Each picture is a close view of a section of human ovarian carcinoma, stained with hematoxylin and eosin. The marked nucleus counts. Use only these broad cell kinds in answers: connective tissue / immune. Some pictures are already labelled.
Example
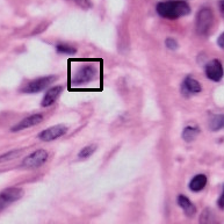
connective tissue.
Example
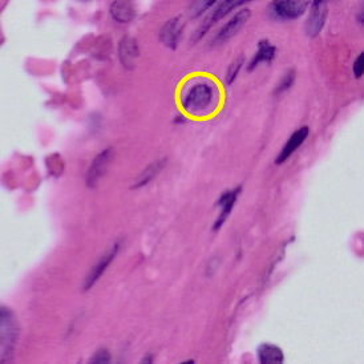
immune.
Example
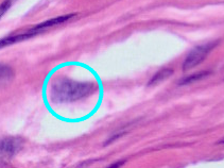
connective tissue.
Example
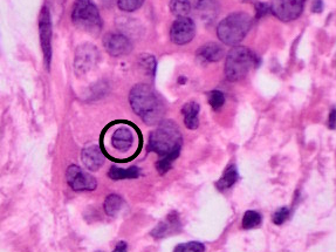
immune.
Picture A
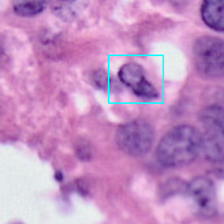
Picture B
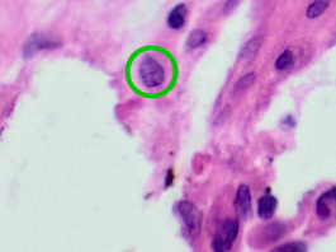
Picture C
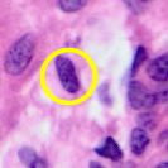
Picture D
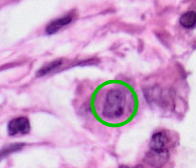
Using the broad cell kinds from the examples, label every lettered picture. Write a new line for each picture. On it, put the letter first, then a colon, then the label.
A: immune.
B: immune.
C: immune.
D: immune.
